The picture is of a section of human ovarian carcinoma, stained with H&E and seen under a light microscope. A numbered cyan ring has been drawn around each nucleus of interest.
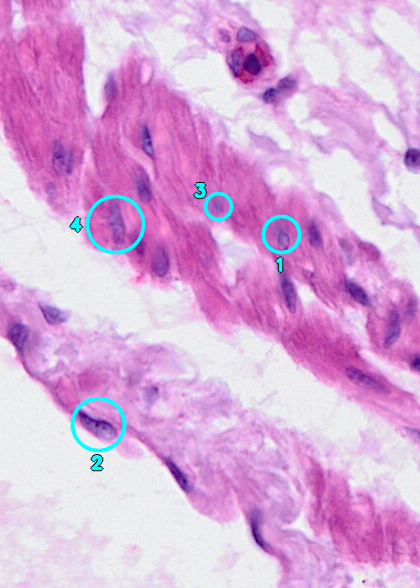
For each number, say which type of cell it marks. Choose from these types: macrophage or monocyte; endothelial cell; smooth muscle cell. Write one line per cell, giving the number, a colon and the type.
1: smooth muscle cell
2: endothelial cell
3: smooth muscle cell
4: smooth muscle cell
